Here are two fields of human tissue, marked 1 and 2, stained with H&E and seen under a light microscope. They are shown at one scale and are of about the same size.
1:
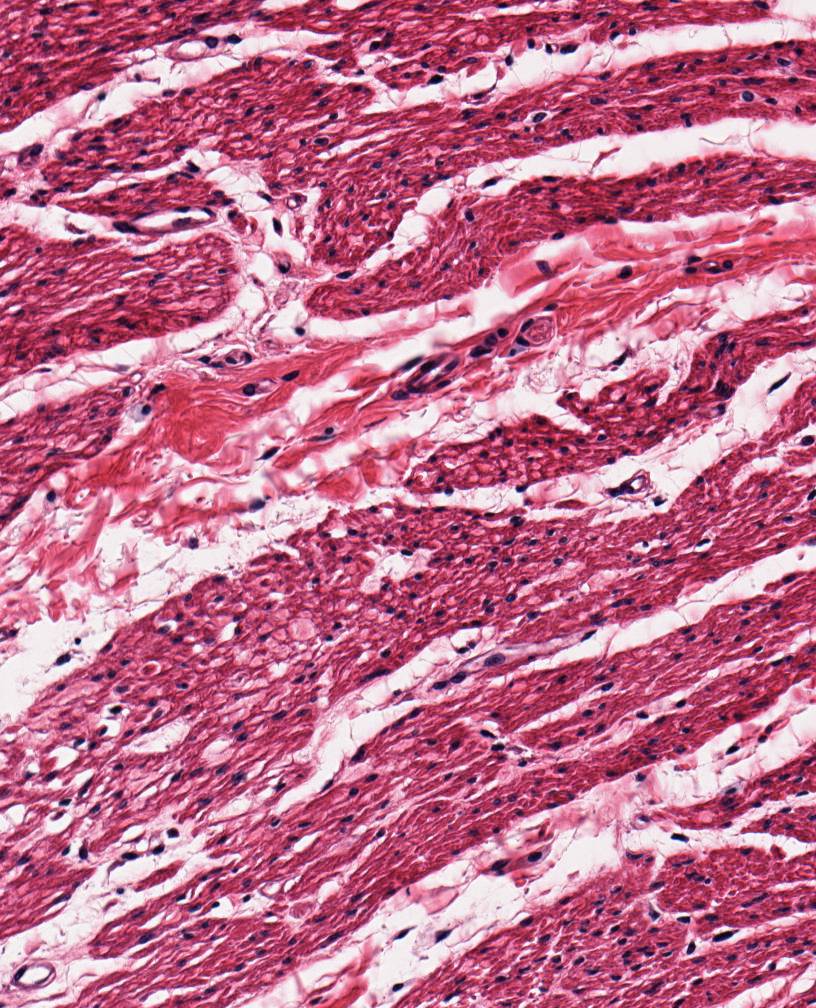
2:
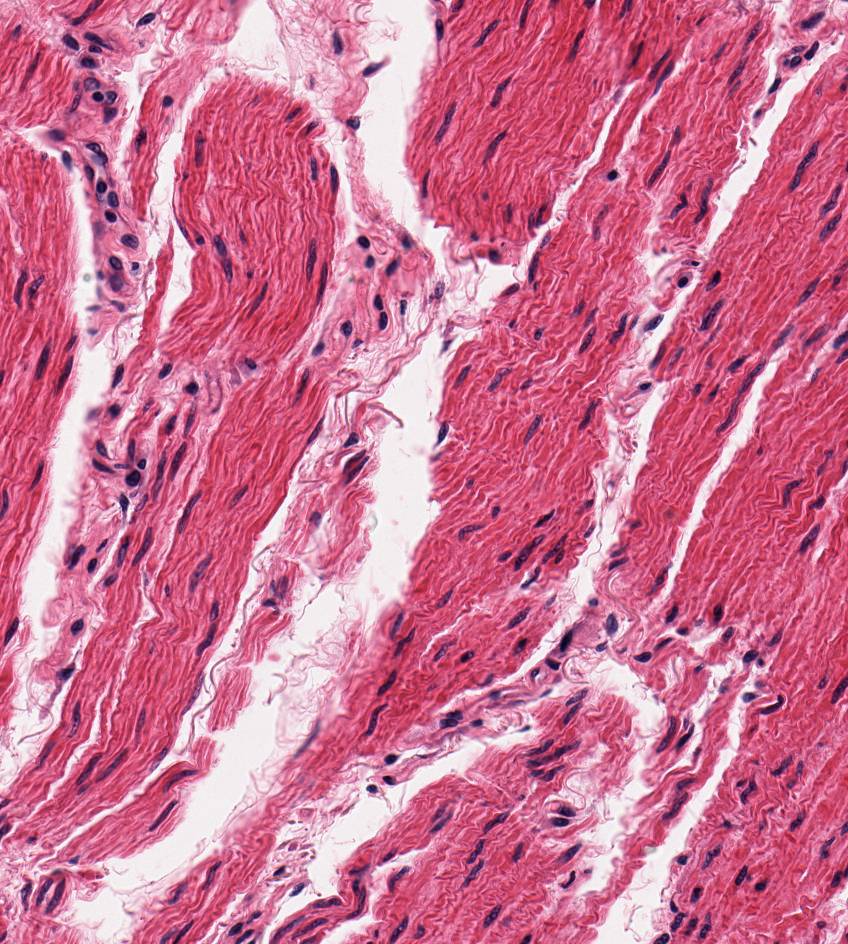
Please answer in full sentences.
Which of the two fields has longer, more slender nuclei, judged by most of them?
On the whole the nuclei of field 2 are more drawn out than those of field 1.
